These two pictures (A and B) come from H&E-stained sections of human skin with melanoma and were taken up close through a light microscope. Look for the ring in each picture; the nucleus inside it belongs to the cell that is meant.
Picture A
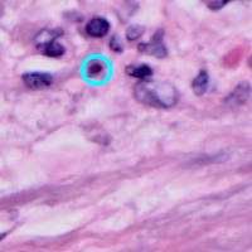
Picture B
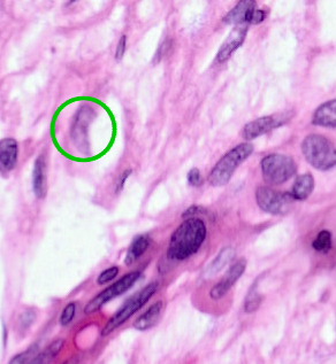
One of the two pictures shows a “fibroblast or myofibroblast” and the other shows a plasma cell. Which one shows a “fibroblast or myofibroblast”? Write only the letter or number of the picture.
B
